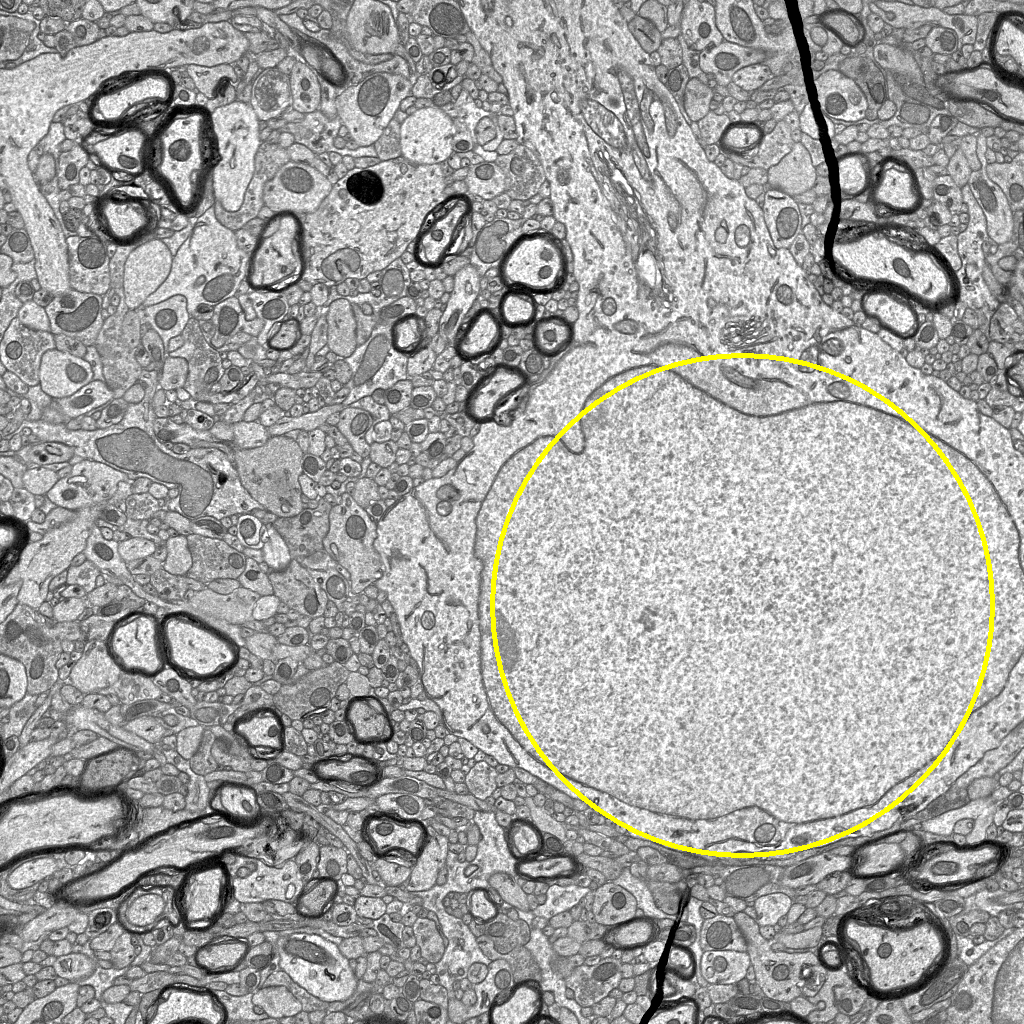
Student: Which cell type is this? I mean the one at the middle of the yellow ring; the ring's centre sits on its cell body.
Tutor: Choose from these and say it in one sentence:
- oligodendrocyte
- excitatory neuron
The cell at the ring's centre is an excitatory neuron.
